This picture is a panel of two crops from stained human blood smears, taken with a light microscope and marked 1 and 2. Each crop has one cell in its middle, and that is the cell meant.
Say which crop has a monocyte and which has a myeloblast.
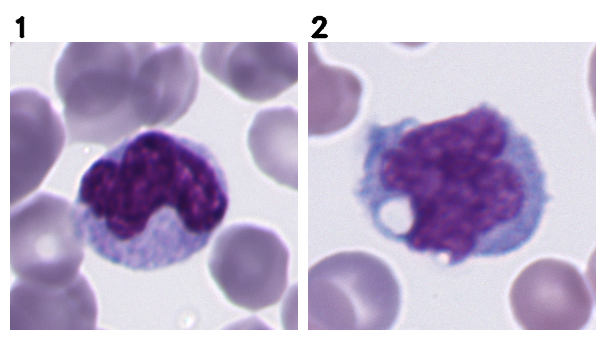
1: monocyte
2: myeloblast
